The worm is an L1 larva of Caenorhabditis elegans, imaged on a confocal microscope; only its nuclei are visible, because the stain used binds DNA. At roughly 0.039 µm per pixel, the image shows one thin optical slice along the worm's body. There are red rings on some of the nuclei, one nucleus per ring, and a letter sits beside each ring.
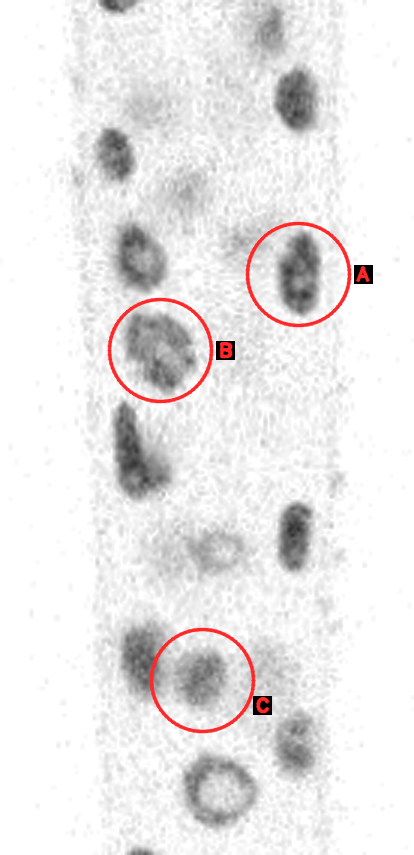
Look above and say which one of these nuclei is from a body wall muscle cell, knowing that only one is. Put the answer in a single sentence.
It is A that belongs to a body wall muscle cell.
